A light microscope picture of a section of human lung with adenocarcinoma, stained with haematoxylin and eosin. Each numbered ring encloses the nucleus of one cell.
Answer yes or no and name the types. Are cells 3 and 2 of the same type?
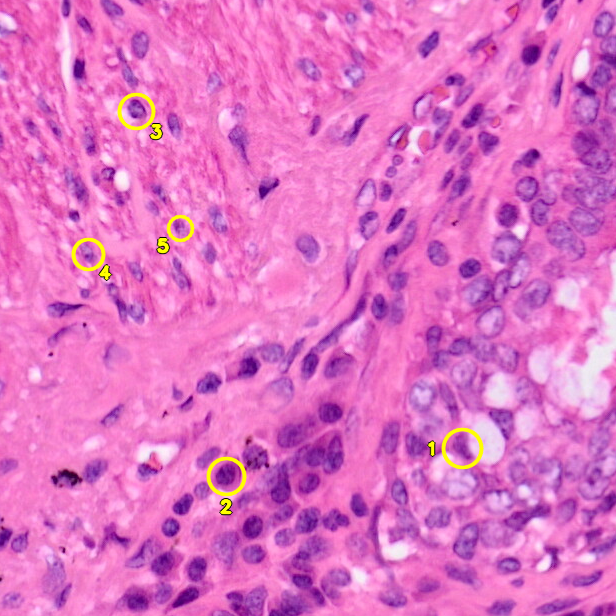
No, cell 3 is identified as a mast cell, and cell 2 is identified as a plasma cell.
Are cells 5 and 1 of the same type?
No, as to type, cell 5 is a smooth muscle cell or pericyte, and cell 1 is a ciliated epithelial cell.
